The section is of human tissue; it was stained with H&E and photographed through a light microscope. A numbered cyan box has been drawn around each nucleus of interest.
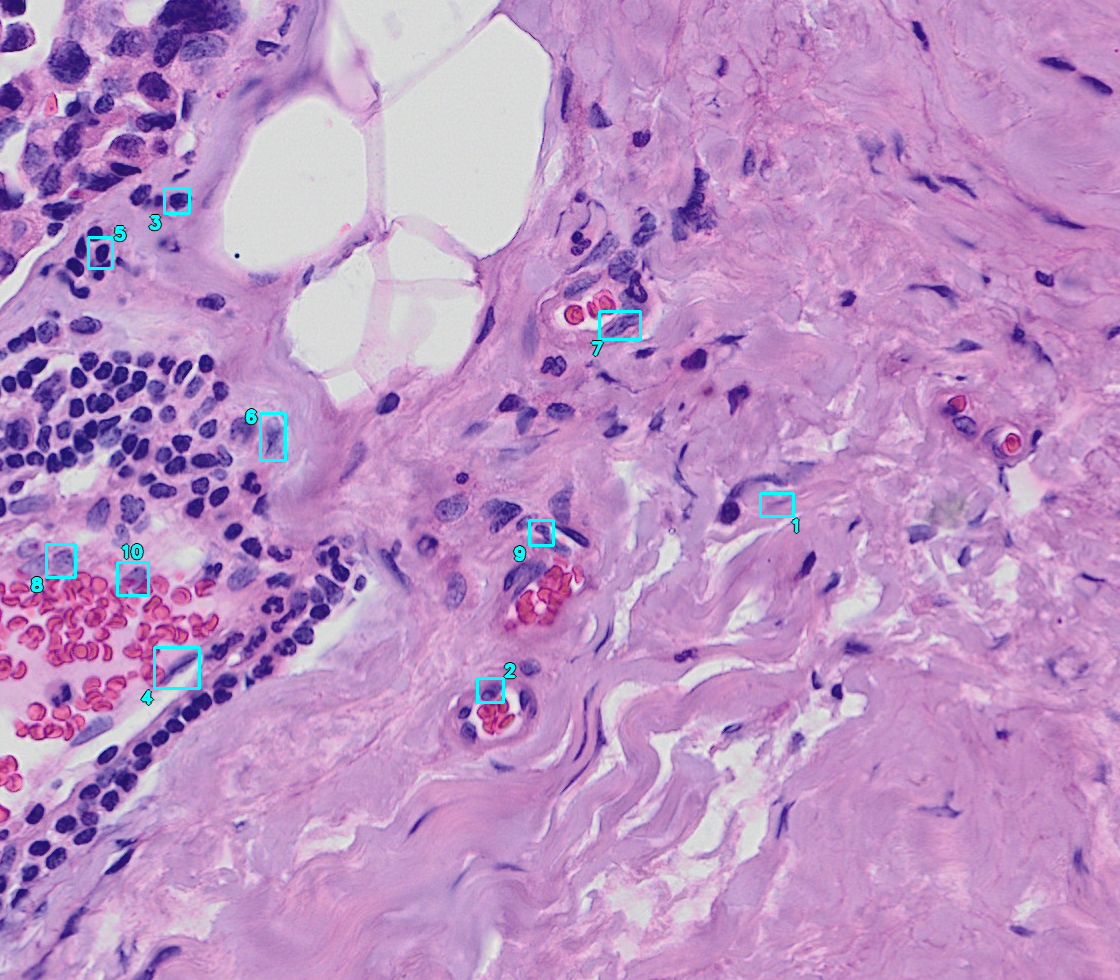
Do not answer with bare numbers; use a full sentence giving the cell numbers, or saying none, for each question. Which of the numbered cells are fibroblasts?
Identification: the cells with numbers 1 and 6 are fibroblasts.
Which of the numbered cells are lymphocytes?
Cells 3 and 5 in the section are typed as lymphocytes.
